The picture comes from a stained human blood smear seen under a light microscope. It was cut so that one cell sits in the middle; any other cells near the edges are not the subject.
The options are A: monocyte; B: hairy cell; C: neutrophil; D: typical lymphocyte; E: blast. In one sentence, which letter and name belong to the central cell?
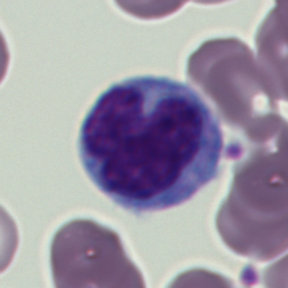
The cell at the centre is a monocyte, and option A accordingly is correct.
